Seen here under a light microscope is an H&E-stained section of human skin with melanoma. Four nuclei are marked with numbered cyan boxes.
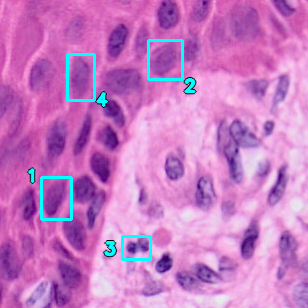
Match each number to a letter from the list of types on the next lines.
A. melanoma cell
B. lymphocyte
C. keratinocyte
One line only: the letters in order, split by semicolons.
C; C; B; C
